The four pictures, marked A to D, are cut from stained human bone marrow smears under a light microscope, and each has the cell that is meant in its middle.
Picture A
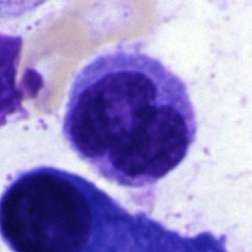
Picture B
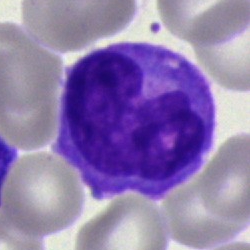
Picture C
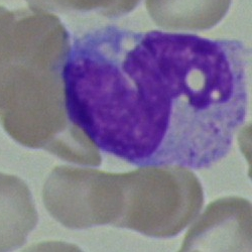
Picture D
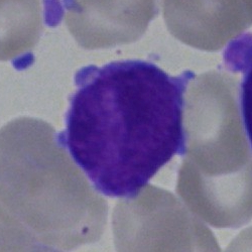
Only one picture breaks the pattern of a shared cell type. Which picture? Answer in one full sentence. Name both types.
Unlike the rest, which show monocytes, picture D shows a blast.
